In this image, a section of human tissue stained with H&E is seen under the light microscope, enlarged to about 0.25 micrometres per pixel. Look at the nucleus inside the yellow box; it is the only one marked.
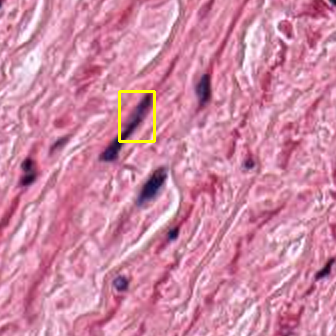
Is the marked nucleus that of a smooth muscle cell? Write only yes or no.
yes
